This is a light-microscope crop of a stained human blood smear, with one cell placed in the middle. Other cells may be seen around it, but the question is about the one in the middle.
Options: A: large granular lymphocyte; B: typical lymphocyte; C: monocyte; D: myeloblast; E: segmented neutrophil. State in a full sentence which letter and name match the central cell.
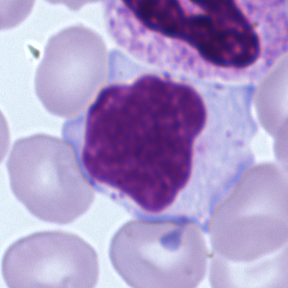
The cell positioned centrally is a large granular lymphocyte, as given in option A, which is correct.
